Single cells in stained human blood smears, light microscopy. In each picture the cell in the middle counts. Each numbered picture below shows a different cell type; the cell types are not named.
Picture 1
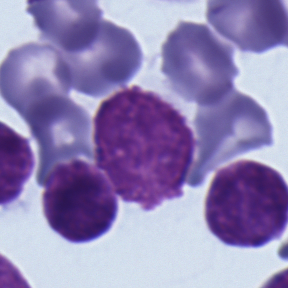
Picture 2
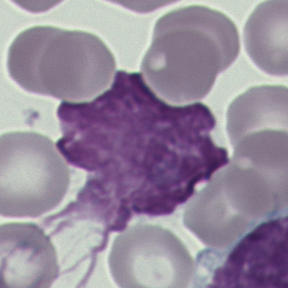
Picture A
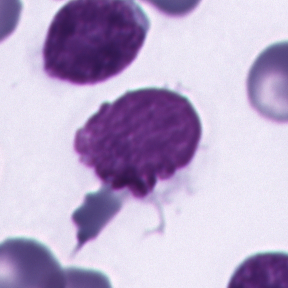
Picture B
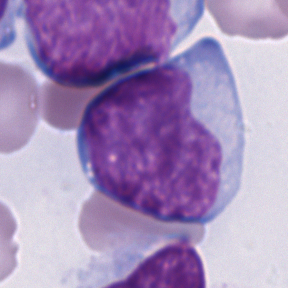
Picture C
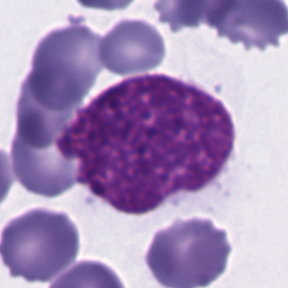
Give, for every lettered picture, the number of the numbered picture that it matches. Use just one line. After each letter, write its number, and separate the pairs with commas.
A 2, B 1, C 2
